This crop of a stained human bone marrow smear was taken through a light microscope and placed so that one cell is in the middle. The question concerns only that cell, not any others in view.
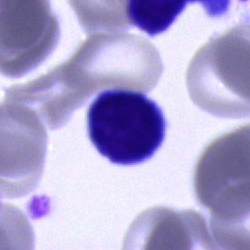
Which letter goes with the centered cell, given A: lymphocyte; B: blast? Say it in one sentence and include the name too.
Option A gives the correct identity of the central cell, namely a lymphocyte.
